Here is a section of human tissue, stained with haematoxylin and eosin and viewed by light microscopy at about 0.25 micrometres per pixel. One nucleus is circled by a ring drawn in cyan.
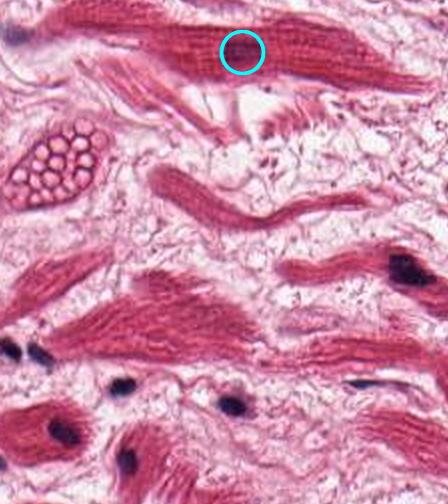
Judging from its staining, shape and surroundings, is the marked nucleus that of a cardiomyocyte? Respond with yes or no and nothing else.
yes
